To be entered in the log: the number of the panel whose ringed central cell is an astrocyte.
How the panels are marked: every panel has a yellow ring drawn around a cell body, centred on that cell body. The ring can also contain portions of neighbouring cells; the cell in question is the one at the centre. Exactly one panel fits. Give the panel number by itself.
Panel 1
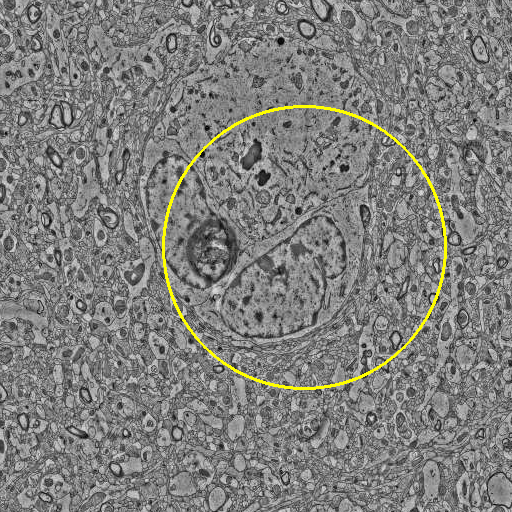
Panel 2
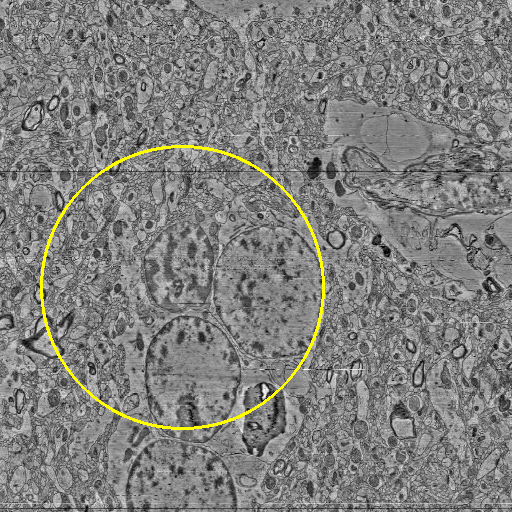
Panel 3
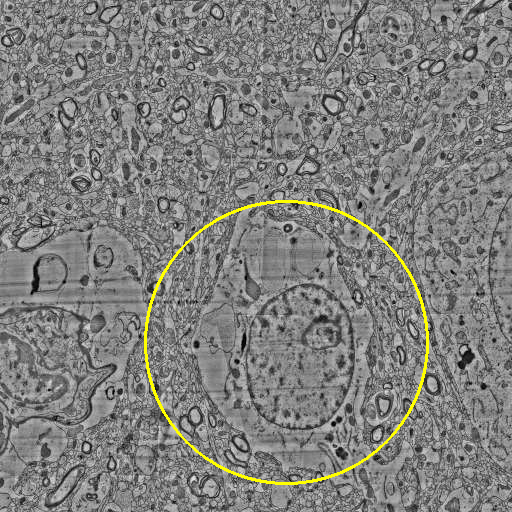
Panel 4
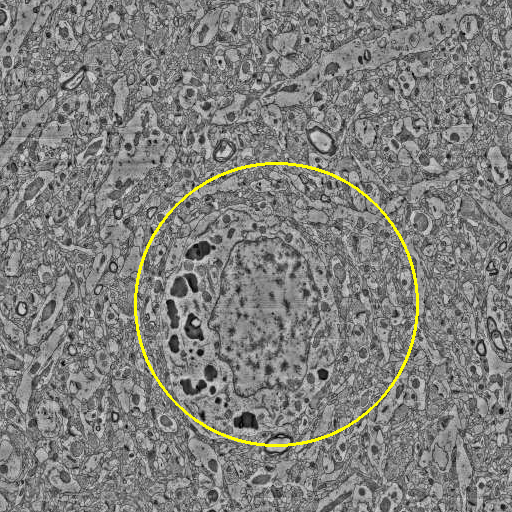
3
